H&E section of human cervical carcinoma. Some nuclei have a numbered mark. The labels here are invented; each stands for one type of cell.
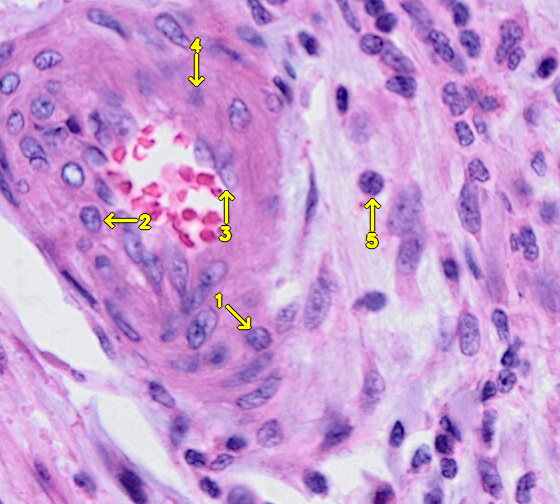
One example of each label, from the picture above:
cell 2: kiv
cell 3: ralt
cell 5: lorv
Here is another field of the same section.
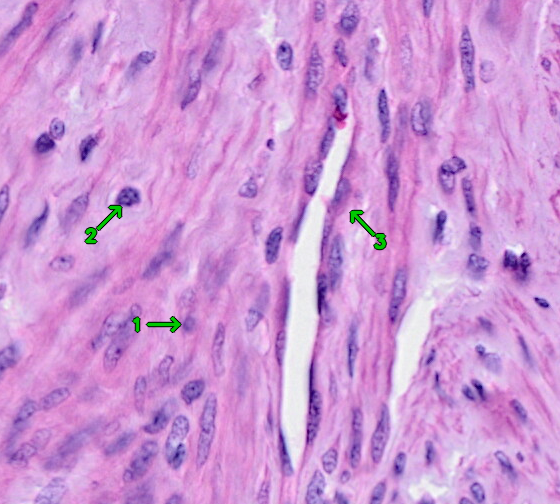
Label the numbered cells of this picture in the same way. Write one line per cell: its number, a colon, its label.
1: kiv
2: lorv
3: ralt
